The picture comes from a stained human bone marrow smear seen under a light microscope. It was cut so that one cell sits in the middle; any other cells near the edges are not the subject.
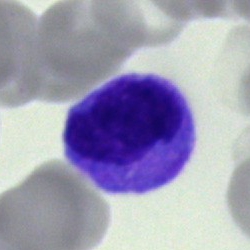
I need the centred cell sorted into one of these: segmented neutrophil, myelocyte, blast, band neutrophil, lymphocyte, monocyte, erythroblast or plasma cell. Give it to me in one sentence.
Classified as a monocyte is the cell in the middle of this crop.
